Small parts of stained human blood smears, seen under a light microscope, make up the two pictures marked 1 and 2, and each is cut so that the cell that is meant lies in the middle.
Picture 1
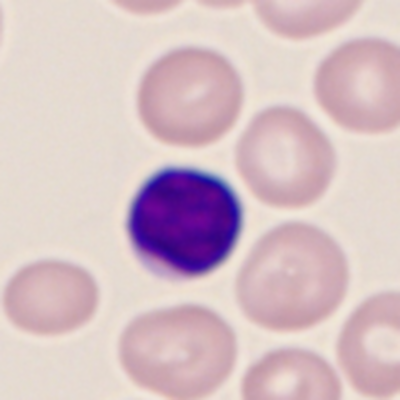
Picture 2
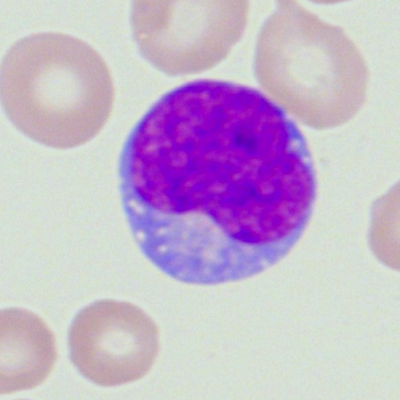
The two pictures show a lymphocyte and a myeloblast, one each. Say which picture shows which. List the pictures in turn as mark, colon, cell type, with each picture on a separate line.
1: lymphocyte
2: myeloblast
